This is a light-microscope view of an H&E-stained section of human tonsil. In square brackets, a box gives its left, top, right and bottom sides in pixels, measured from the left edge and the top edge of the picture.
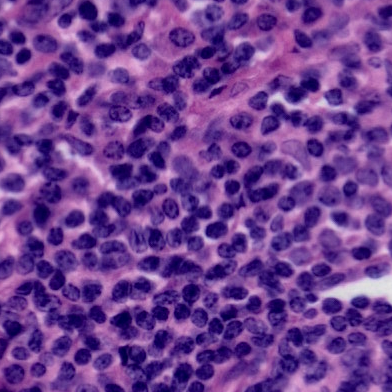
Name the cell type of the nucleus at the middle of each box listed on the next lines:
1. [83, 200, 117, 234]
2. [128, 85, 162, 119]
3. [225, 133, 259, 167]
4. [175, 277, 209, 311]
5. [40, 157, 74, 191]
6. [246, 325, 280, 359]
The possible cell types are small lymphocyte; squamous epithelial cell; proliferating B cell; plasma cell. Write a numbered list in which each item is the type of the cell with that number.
1. small lymphocyte
2. plasma cell
3. plasma cell
4. small lymphocyte
5. plasma cell
6. small lymphocyte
